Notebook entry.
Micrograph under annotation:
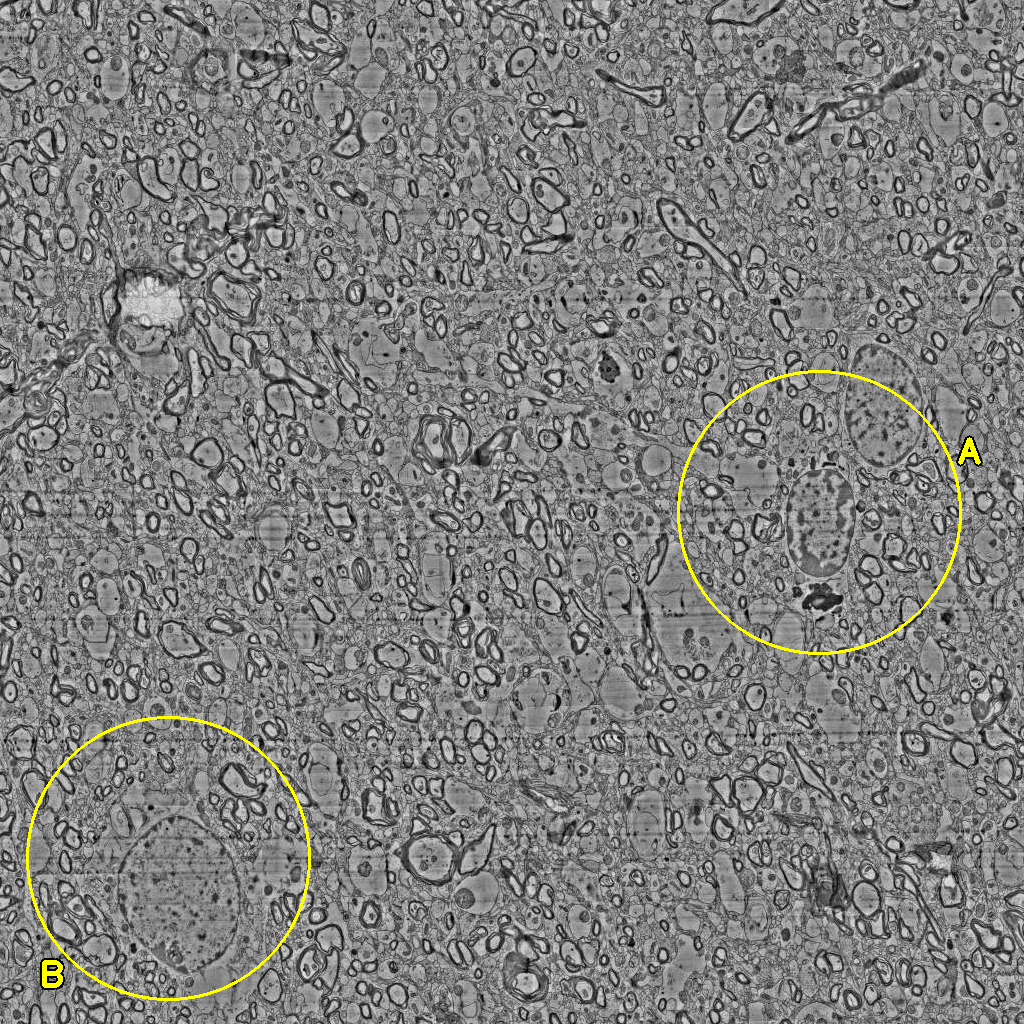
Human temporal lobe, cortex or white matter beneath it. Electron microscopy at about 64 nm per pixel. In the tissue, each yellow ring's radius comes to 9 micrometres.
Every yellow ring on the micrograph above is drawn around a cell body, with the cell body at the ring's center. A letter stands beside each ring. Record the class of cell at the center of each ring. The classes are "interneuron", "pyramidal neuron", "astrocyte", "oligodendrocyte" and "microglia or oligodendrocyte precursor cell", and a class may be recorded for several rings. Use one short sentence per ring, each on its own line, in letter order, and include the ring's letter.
Ring A is centered on a microglial cell or oligodendrocyte precursor cell.
Ring B is centered on an astrocyte.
